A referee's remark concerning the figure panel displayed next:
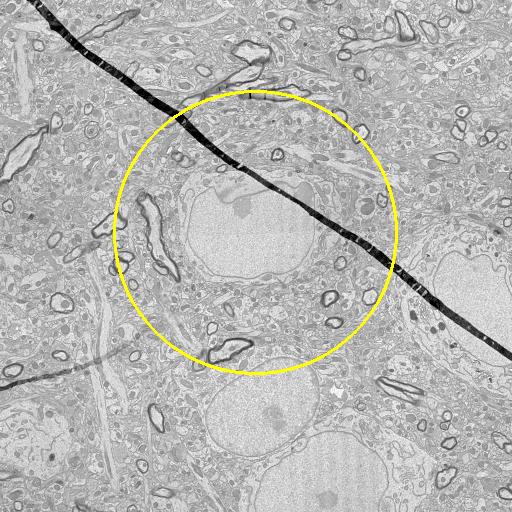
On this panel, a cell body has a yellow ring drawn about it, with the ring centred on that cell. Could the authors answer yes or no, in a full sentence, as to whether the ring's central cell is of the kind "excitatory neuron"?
Yes, the cell sitting at the middle of the ring on this panel belongs to that kind.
